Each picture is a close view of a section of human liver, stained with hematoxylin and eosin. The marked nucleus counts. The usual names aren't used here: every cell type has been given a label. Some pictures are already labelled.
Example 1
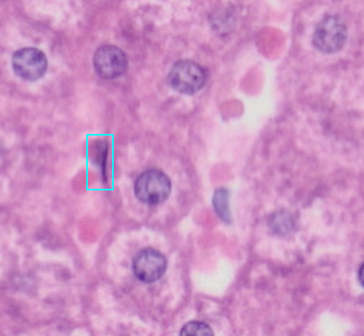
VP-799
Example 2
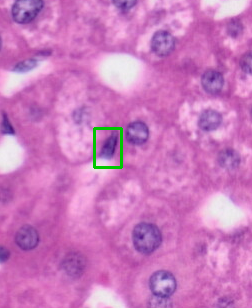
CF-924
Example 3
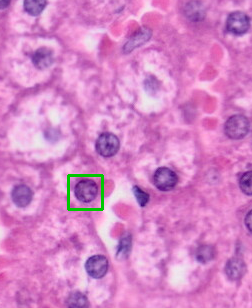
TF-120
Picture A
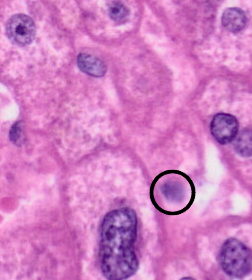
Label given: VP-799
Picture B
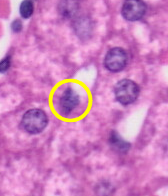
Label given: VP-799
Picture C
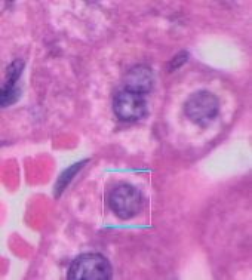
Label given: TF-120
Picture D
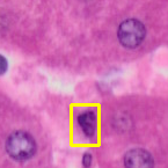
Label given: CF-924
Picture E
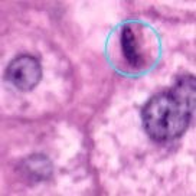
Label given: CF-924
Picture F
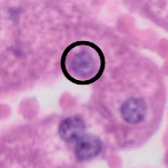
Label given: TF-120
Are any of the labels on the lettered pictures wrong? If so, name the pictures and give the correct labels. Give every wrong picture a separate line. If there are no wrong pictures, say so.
None of the labels needs changing.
